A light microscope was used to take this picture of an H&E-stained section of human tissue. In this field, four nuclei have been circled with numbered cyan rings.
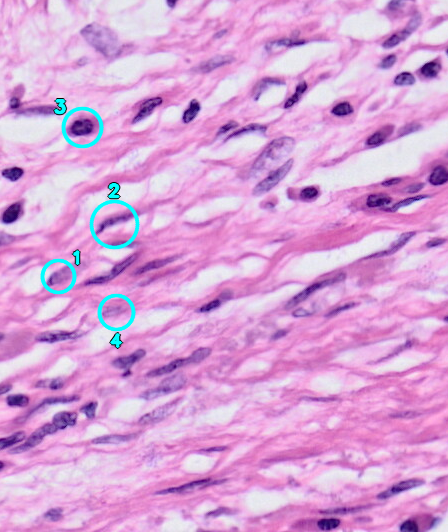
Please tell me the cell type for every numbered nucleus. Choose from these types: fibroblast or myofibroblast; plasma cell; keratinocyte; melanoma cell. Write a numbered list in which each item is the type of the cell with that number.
1. fibroblast or myofibroblast
2. fibroblast or myofibroblast
3. plasma cell
4. fibroblast or myofibroblast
